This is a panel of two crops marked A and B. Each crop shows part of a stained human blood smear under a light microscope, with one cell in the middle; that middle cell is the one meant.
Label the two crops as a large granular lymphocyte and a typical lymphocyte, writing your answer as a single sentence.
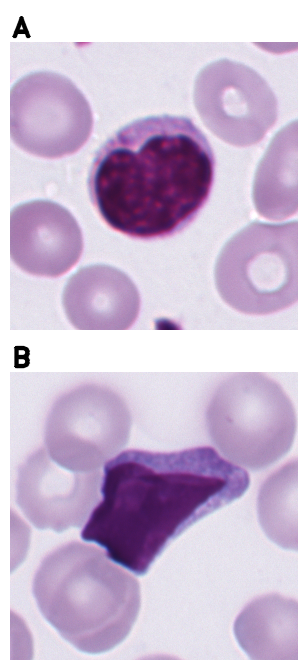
Crop B contains a typical lymphocyte, whereas crop A contains a large granular lymphocyte.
